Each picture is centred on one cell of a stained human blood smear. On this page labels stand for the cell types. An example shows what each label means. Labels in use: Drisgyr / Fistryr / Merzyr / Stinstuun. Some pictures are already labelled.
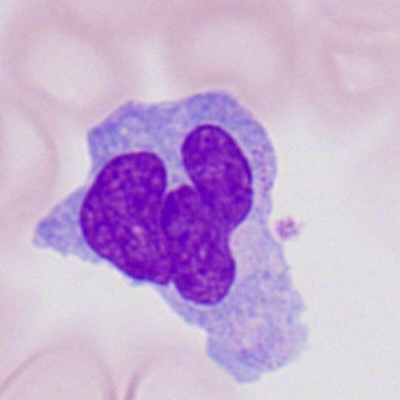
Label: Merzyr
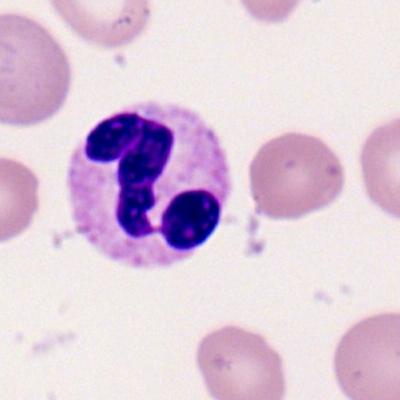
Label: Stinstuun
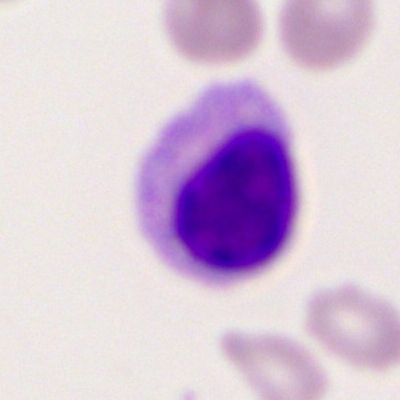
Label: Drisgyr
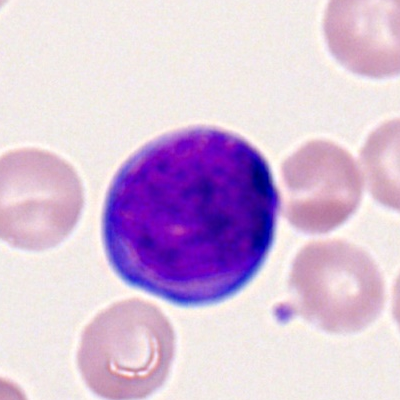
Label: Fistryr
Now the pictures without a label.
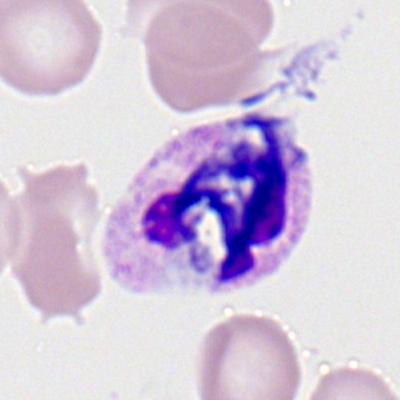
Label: Stinstuun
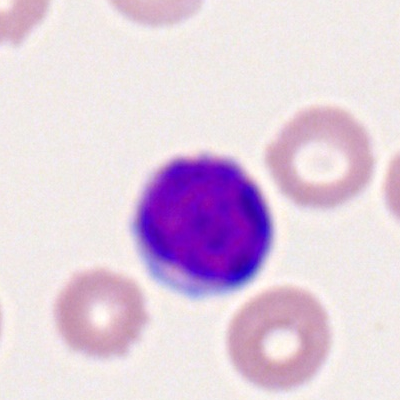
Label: Drisgyr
